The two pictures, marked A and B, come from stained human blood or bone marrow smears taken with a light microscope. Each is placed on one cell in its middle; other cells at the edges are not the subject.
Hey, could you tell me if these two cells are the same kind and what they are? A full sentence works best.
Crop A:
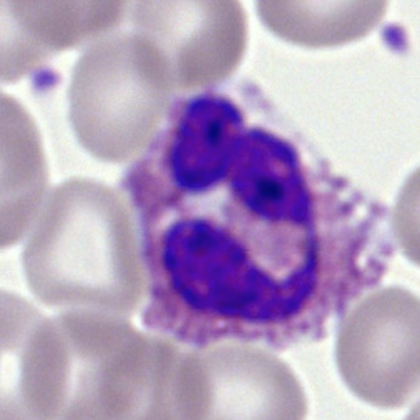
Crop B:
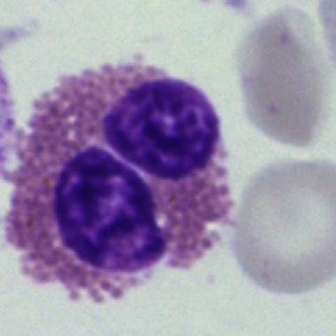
Yes, the two central cells, one per crop, are eosinophils.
